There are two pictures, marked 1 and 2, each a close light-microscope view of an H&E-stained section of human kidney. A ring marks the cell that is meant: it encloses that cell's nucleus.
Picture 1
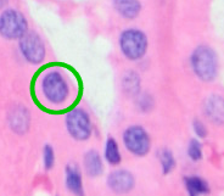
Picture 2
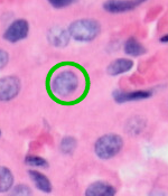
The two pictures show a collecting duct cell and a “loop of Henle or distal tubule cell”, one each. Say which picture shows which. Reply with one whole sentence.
Picture 1 shows a collecting duct cell and picture 2 shows a “loop of Henle or distal tubule cell”.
